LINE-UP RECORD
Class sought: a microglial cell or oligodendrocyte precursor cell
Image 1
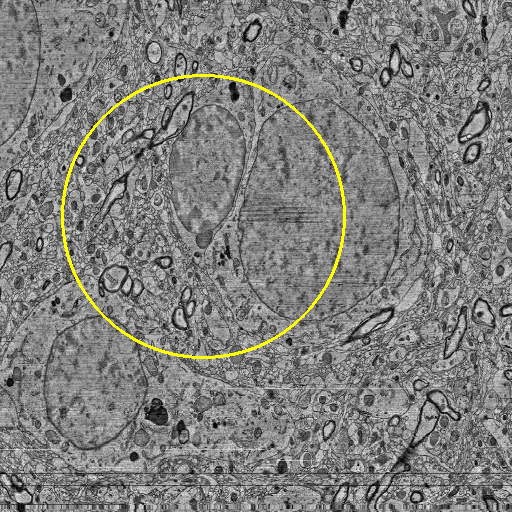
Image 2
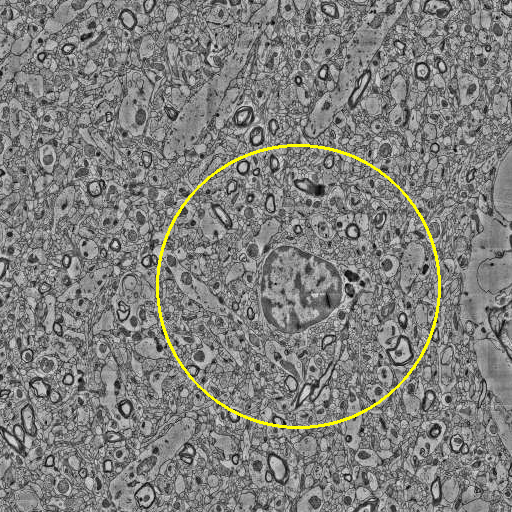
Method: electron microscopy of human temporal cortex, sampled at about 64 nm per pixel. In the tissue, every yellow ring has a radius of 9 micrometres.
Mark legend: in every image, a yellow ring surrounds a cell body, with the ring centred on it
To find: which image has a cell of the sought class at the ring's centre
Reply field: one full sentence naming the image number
The ring-centred cell of image 2 belongs to the class sought.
